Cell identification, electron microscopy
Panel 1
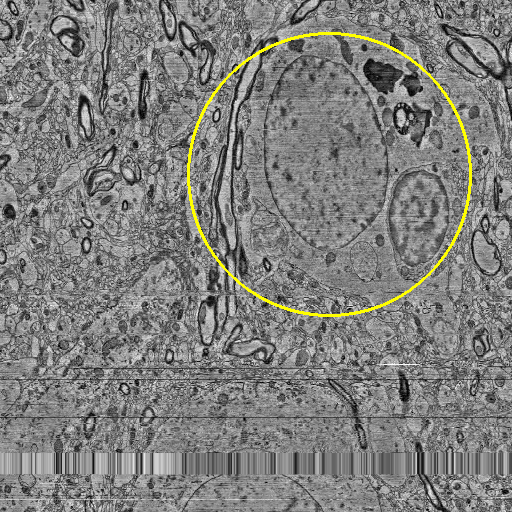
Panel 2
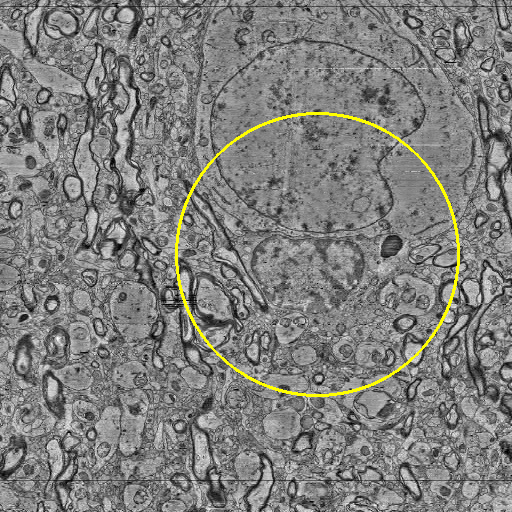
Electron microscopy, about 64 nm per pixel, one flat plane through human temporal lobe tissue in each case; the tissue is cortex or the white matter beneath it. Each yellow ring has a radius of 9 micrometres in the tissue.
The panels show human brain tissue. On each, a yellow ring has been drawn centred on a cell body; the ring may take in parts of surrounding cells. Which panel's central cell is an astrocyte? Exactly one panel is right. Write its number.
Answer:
1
